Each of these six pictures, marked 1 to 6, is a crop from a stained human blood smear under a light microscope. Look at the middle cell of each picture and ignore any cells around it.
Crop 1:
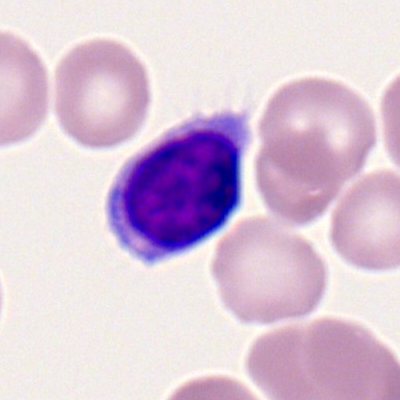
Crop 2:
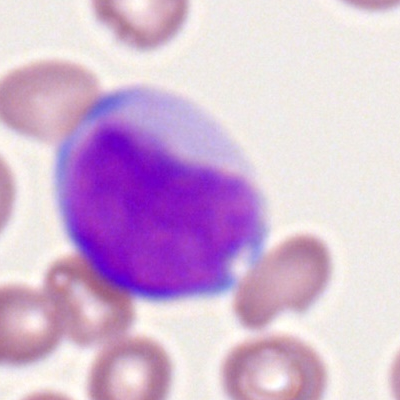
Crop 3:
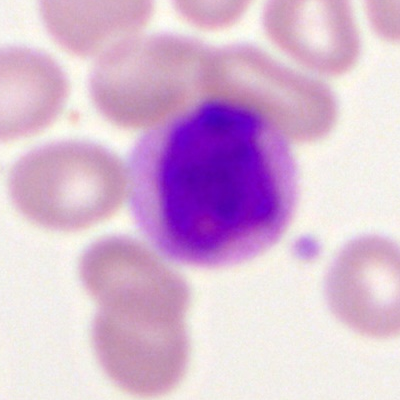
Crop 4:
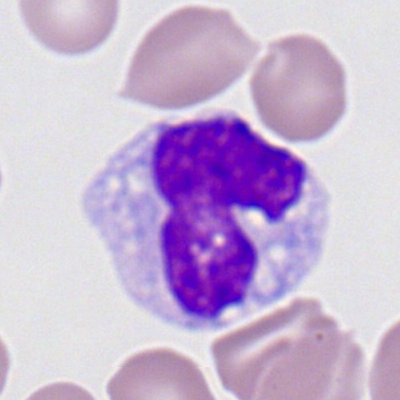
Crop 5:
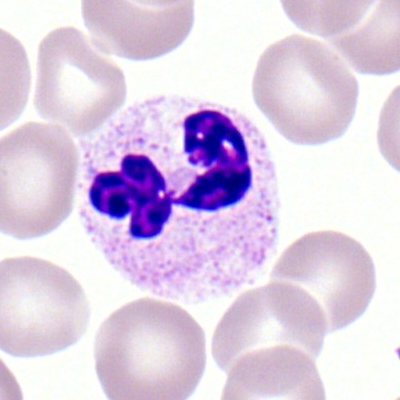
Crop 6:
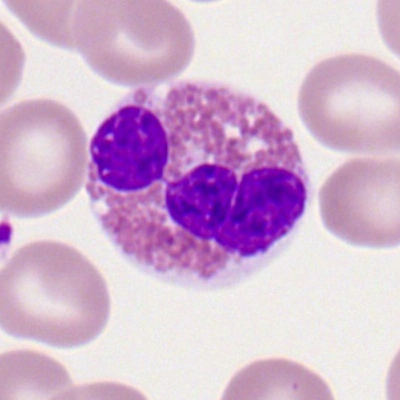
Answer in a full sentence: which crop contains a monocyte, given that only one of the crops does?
The requested cell, a monocyte, is the one in crop 4.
